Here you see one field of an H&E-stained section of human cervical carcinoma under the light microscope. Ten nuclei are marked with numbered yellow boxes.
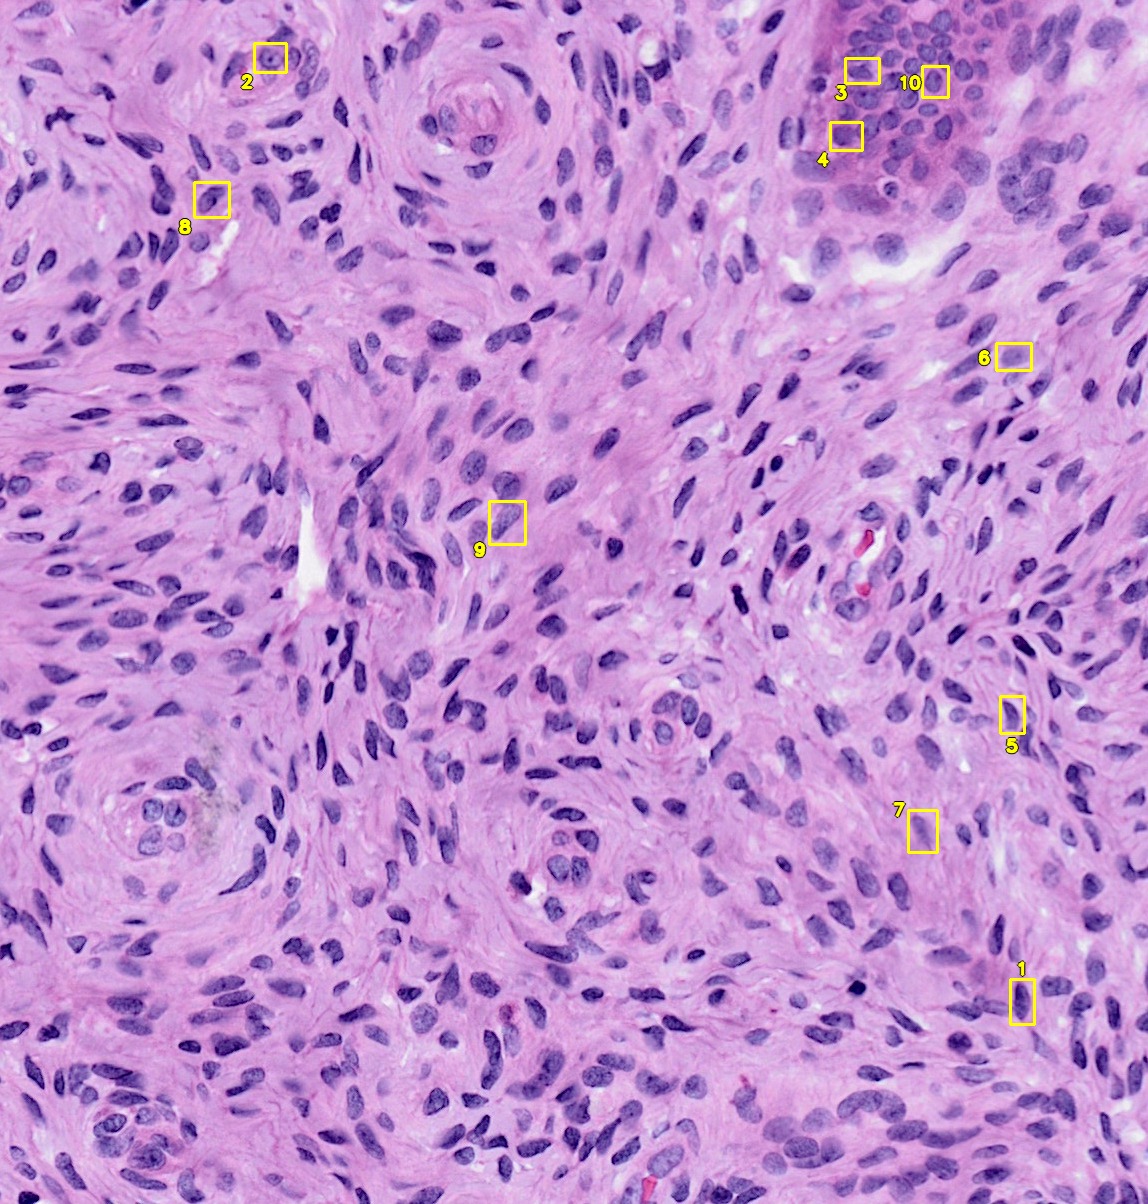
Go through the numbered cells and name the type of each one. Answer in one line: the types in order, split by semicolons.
fibroblast; endothelial cell; secretory epithelial cell; secretory epithelial cell; fibroblast; fibroblast; fibroblast; fibroblast; fibroblast; secretory epithelial cell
